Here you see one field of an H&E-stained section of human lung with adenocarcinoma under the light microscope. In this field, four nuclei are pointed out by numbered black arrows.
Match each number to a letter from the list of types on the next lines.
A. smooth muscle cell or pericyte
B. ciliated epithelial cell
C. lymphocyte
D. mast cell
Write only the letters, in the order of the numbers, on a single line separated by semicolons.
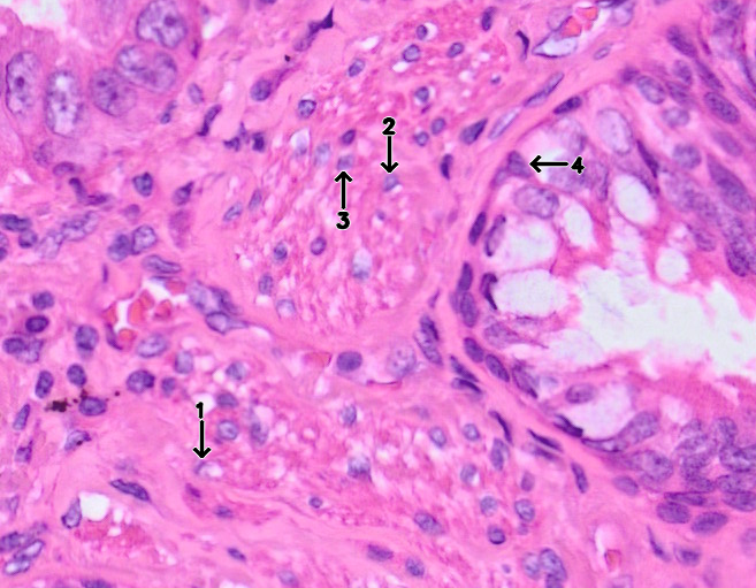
A; A; A; B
